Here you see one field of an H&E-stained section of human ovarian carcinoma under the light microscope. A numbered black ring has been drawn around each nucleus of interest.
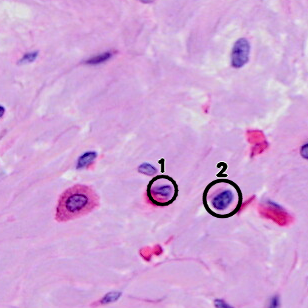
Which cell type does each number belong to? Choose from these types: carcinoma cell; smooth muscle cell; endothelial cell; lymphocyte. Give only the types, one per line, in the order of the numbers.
endothelial cell
lymphocyte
